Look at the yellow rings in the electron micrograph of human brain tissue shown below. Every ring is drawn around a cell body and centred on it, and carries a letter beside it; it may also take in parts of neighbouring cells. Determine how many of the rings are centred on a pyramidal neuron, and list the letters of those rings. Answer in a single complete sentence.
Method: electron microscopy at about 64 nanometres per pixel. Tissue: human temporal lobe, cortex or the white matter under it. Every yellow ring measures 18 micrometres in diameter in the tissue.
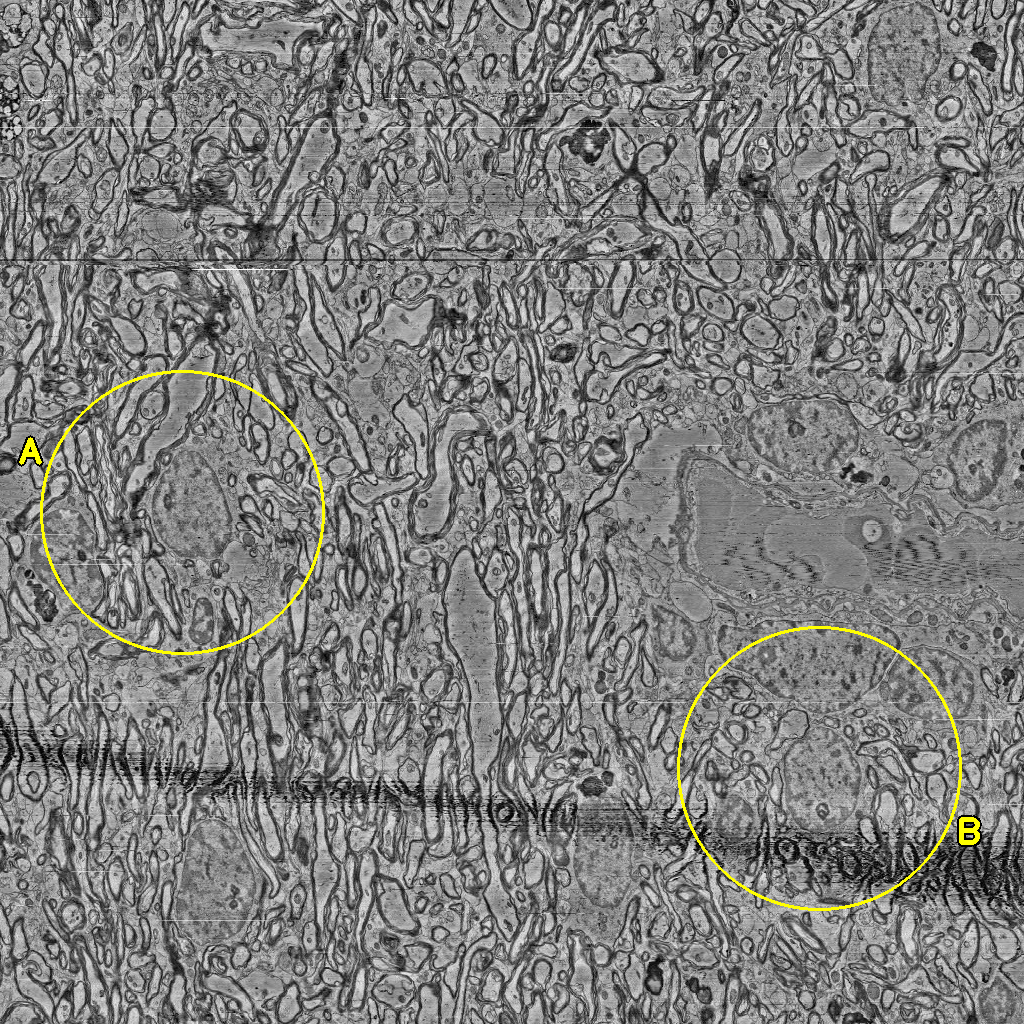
The rings are centred elsewhere, never on a pyramidal neuron, so the count comes out as zero.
